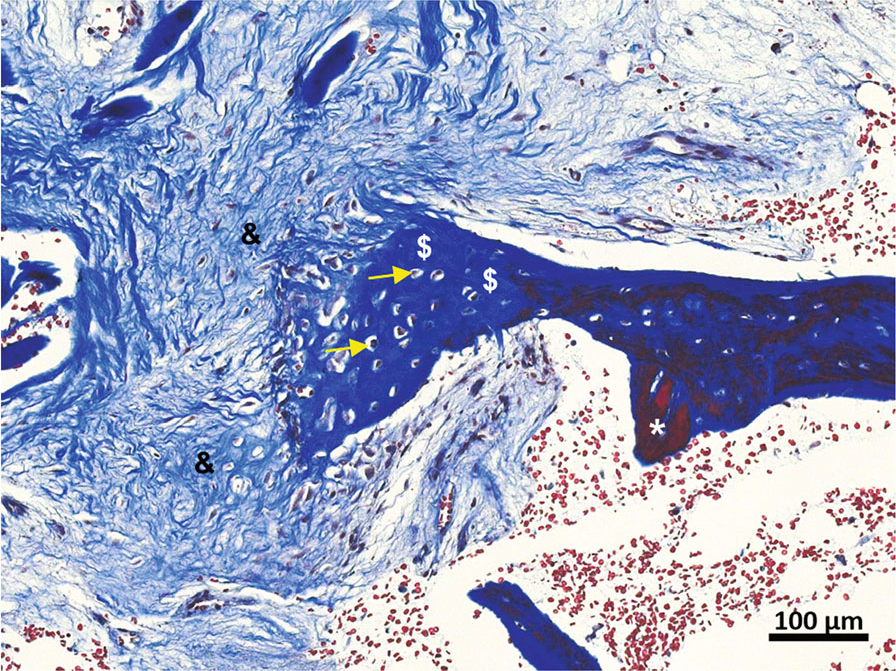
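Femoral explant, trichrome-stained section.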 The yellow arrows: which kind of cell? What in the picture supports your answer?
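Osteocytes. The yellow arrows point to small cells sitting in clear spaces within the dense dark blue matrix. Each of these cells is surrounded by a pale halo, like a small cavity.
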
